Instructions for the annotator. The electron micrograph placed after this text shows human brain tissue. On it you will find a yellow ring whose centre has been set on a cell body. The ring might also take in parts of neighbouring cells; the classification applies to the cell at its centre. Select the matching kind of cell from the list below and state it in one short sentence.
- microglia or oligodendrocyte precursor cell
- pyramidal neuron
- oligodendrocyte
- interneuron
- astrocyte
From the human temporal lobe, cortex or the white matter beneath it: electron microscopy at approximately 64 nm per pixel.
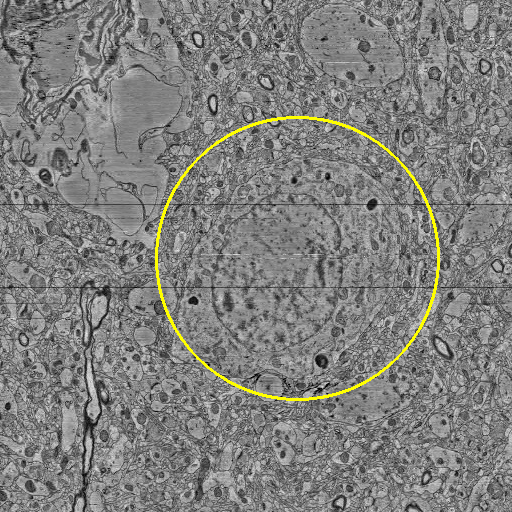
The ring is drawn on the cell body of an interneuron.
